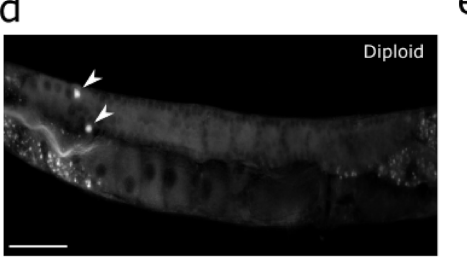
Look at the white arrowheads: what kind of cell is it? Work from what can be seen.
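Germ cells undergoing apoptosis. The arrowheads point to small, bright, round spots. The bright spots lie in the gonad in the upper part of the body, near rows of dark round cells.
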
